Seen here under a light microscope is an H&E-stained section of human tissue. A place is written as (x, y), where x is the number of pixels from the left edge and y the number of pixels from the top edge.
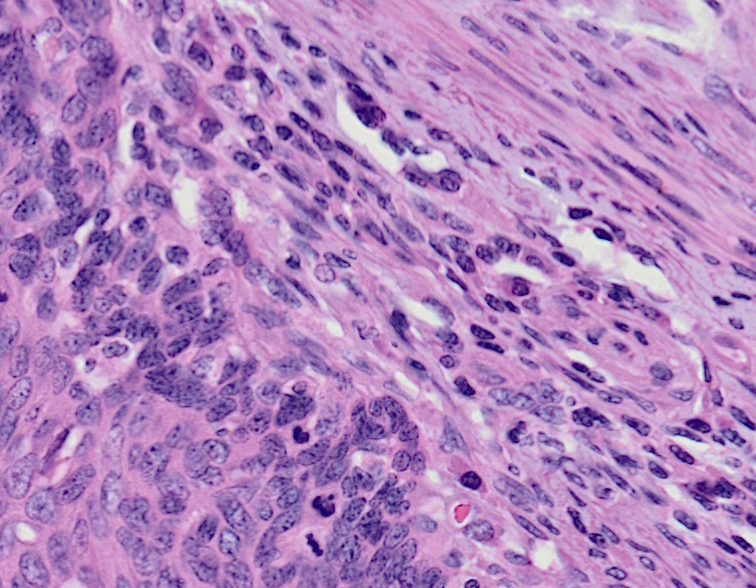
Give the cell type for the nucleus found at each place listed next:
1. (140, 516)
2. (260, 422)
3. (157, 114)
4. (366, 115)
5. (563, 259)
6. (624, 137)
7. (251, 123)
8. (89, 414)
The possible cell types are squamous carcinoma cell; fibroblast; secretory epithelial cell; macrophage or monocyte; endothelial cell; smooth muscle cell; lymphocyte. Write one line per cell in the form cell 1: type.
cell 1: squamous carcinoma cell
cell 2: squamous carcinoma cell
cell 3: lymphocyte
cell 4: lymphocyte
cell 5: lymphocyte
cell 6: smooth muscle cell
cell 7: lymphocyte
cell 8: squamous carcinoma cell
